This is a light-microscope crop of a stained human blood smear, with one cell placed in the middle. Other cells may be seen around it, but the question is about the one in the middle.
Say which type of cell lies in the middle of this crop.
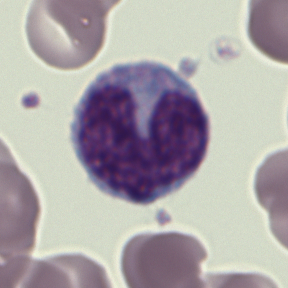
monocyte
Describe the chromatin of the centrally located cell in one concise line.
You can see that its chromatin is coarsely clumped.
